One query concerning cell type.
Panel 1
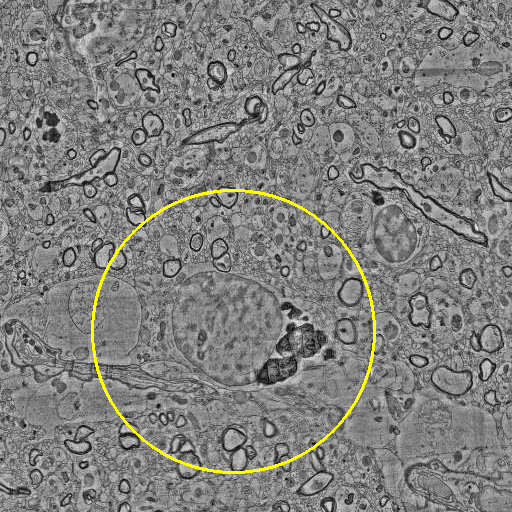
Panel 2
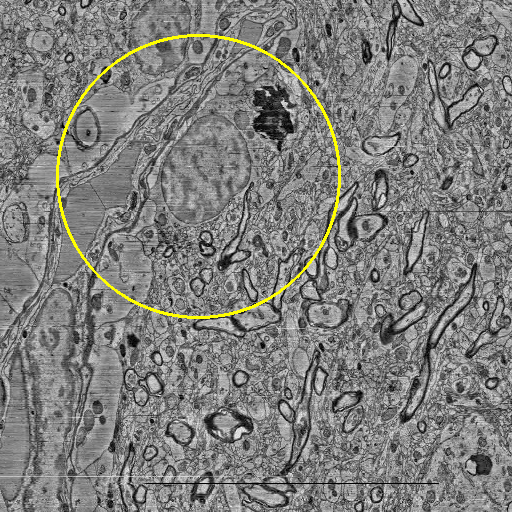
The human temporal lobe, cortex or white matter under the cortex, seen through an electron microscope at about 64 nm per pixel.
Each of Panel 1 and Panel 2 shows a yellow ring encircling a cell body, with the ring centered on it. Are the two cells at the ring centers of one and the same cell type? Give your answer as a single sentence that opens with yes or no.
Yes, the cell centered in Panel 1 and the one in Panel 2 share a type.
